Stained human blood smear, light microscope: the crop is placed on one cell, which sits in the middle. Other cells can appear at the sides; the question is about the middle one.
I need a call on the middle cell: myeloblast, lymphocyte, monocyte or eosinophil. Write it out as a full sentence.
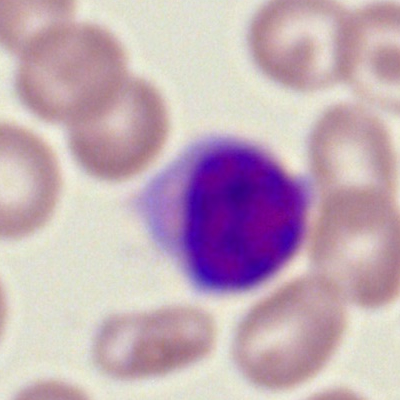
At the crop's centre, the cell is a lymphocyte.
